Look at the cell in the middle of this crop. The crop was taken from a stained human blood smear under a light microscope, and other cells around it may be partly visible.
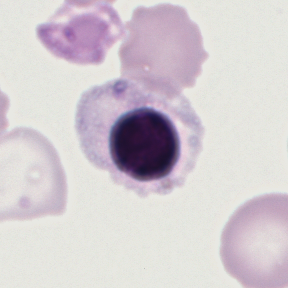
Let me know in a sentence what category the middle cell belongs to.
At the crop's centre, the cell is a normoblast.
